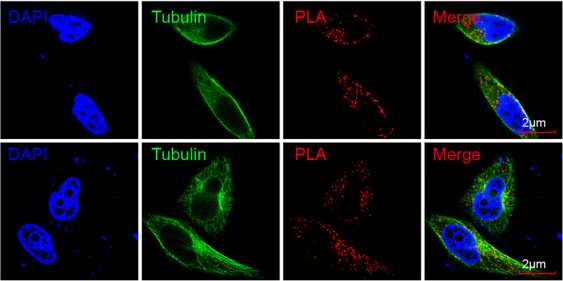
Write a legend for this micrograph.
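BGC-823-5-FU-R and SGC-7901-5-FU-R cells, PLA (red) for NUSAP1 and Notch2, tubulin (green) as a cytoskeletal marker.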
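These are cultured cells seen by fluorescence microscopy, shown in two rows with each channel separately and then merged. The nuclei are oval and blue, and in the lower row some show darker rounded spots within them. The green filaments trace the cell bodies, which are elongated or spindle-shaped, with a fine network of fibres through the cytoplasm. Small red dots are scattered through the cytoplasm around the nuclei, with few lying over the nuclei themselves. In the merged images the red dots sit within the green-outlined cells beside the blue nuclei.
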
